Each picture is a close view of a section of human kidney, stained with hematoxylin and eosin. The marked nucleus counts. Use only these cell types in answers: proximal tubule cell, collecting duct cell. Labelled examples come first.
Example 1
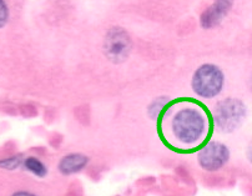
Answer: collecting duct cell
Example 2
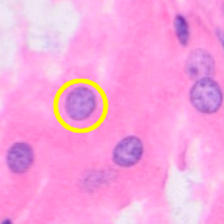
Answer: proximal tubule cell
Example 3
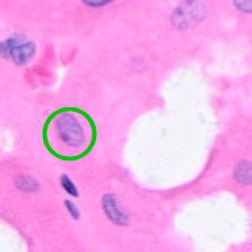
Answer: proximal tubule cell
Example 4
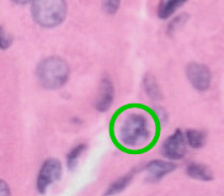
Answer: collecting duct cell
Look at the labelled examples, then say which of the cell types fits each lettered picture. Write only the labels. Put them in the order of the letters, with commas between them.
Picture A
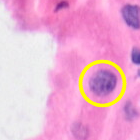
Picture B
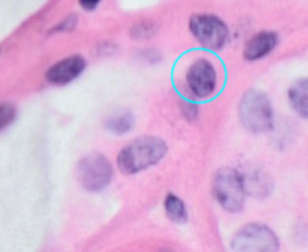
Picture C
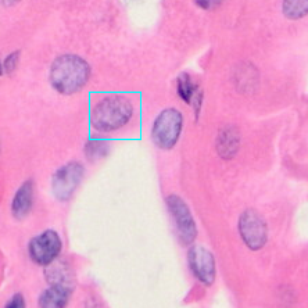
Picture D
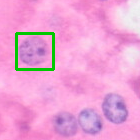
proximal tubule cell, collecting duct cell, collecting duct cell, proximal tubule cell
